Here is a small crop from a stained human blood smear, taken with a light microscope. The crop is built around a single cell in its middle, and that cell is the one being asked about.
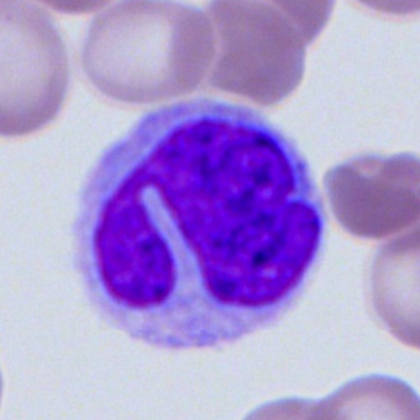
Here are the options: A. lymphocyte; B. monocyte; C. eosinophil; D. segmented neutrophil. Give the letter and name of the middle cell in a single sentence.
Answer key: option B, the middle cell being a monocyte.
